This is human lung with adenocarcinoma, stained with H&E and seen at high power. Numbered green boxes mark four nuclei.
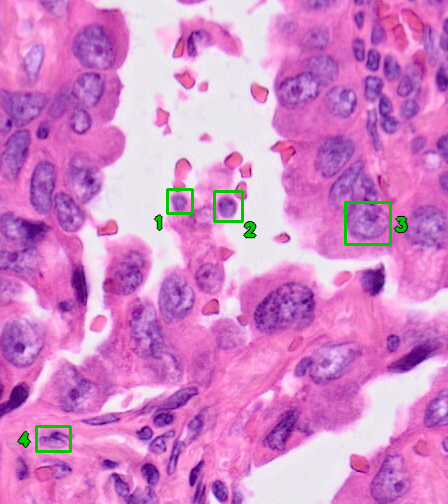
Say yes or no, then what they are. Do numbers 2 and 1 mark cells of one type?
Yes, both are lymphocytes.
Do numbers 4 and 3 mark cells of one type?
No, cell 4 is a fibroblast and cell 3 is a carcinoma cell.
